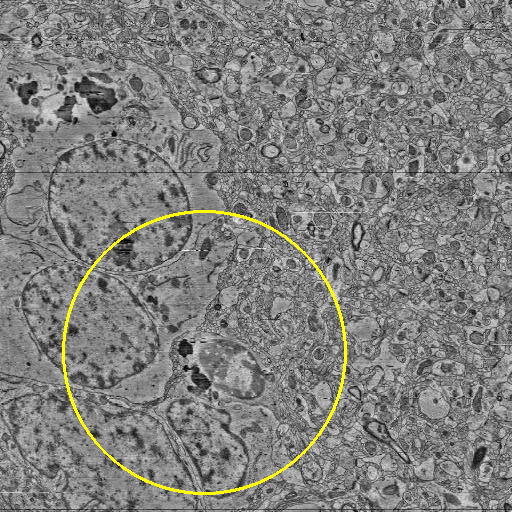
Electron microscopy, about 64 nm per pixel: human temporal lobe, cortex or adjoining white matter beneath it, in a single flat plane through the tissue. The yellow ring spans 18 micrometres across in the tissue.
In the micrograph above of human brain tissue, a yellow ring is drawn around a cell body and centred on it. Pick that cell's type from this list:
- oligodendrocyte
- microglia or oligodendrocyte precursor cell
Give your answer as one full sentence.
Going by the list, an oligodendrocyte is the cell on which the yellow ring is centred.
